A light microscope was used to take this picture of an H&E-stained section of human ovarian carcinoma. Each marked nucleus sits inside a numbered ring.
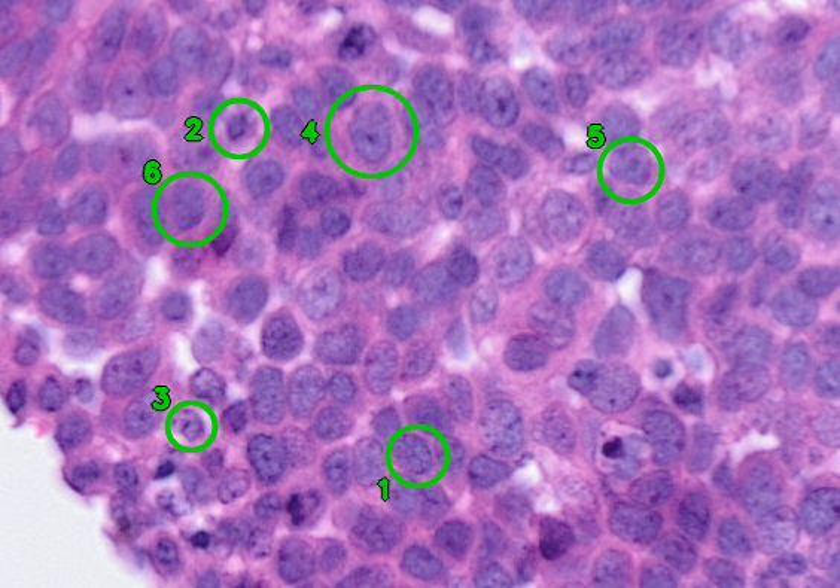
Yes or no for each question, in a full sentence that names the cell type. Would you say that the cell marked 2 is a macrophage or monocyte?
Yes, the cell that goes by number 2 is a macrophage or monocyte.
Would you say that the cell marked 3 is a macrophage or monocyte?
Yes, in this section the cell with number 3 is a macrophage or monocyte.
